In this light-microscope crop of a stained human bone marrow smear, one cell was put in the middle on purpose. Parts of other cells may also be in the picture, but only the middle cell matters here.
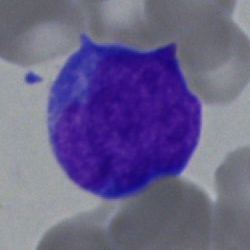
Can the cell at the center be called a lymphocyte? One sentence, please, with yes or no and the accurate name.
No, the central cell is a blast, not a lymphocyte.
